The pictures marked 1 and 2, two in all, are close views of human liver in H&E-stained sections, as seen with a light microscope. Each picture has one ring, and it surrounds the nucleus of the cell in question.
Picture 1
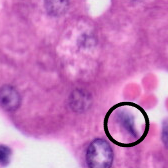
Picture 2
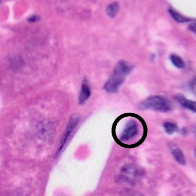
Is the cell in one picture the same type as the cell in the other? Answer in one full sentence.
No; the cell in picture 1 is an endothelial cell, while the one in picture 2 is a “fibroblast or stellate cell”.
